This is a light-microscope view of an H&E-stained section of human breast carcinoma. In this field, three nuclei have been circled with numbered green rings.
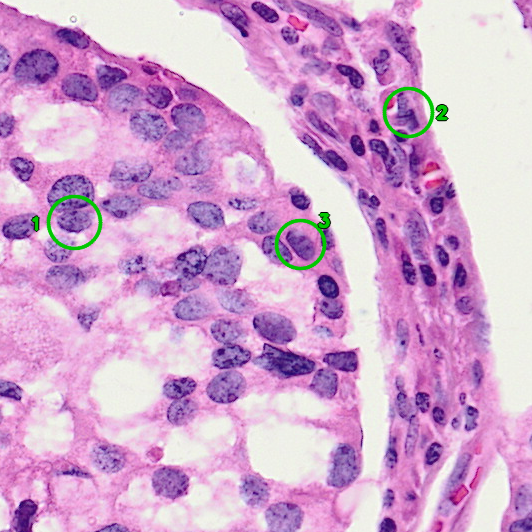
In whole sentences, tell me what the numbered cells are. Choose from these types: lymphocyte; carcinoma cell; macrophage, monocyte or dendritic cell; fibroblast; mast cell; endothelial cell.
Cell 1 is a carcinoma cell, cell 2 is an endothelial cell and cell 3 is a carcinoma cell.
